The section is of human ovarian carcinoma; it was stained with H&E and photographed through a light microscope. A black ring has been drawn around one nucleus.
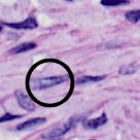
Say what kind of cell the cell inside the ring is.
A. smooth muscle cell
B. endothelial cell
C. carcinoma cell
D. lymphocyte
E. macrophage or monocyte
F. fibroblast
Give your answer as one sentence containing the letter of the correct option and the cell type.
Option F, which has the cell inside the ring as a fibroblast, is the correct choice.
